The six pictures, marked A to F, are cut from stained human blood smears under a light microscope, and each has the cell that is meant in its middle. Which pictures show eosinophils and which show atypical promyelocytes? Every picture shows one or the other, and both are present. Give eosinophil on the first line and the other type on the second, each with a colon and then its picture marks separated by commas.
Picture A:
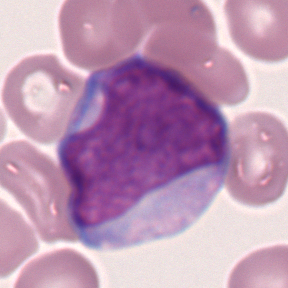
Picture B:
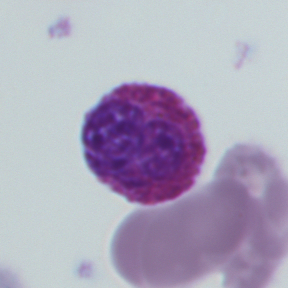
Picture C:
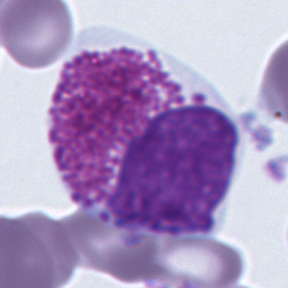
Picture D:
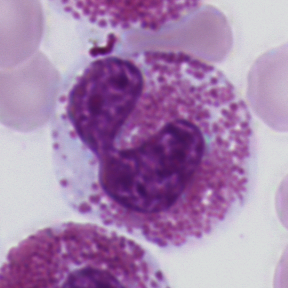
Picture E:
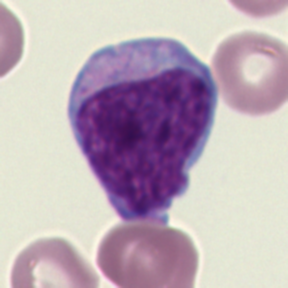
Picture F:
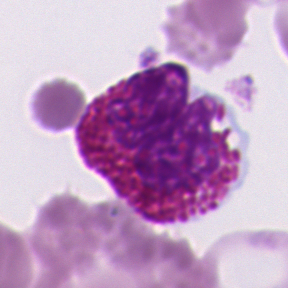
eosinophil: B, C, D, F
atypical promyelocyte: A, E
